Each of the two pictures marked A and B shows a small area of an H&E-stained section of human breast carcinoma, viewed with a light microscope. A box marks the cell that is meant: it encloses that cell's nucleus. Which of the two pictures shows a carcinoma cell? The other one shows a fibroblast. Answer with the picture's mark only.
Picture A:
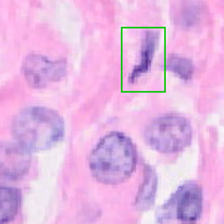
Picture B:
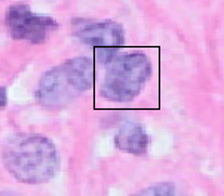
B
